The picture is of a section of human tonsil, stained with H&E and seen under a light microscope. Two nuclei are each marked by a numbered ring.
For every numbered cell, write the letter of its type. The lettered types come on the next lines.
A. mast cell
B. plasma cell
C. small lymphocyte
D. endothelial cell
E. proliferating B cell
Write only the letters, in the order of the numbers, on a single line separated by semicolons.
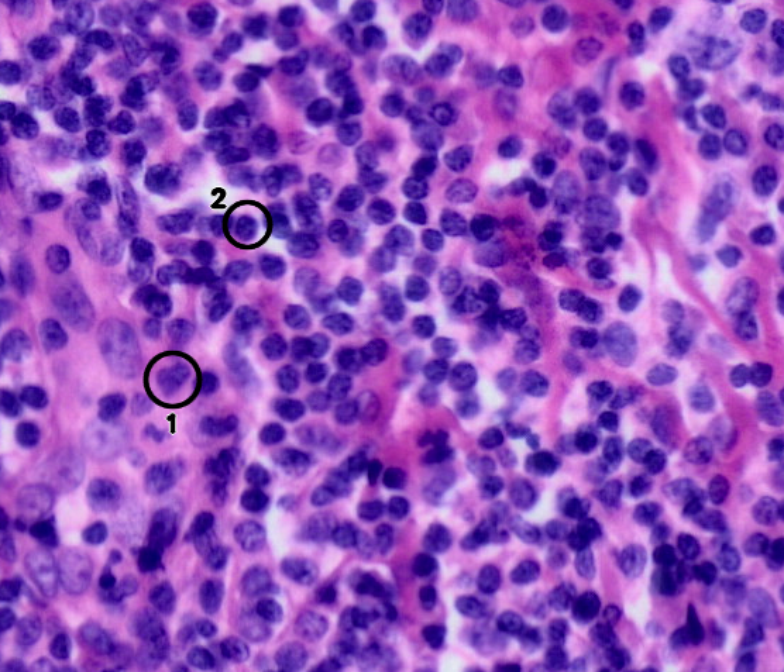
D; C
